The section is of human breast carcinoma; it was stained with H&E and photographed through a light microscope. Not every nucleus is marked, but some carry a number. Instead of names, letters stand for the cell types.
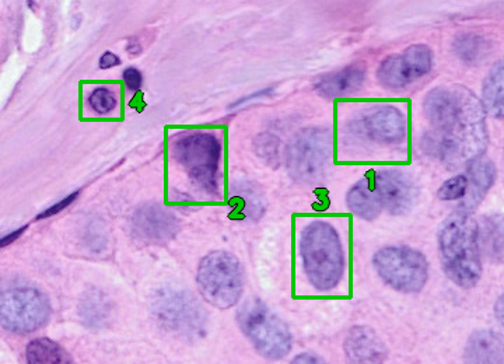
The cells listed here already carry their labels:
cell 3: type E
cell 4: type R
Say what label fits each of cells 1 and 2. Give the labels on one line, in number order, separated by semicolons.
type E; type E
